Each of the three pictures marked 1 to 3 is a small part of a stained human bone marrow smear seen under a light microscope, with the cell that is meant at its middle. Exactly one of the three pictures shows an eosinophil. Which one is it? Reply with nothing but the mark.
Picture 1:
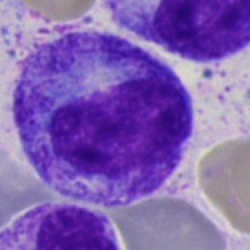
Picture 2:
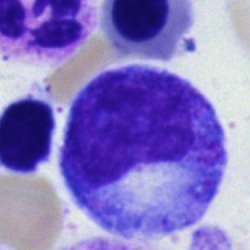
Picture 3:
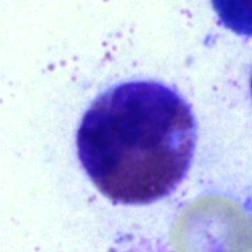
3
